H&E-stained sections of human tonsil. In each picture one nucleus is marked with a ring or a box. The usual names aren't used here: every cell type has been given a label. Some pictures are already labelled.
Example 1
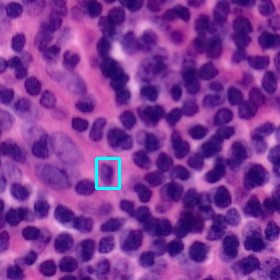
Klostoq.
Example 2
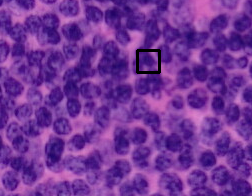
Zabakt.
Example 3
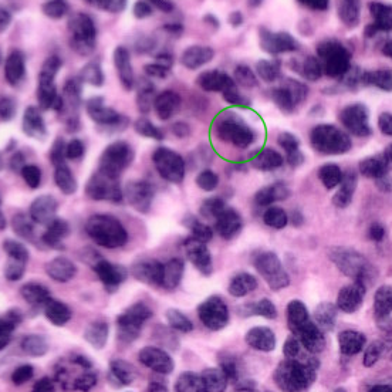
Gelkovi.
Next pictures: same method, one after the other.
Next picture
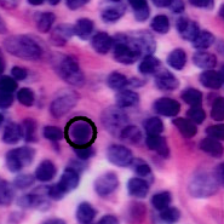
Klostoq.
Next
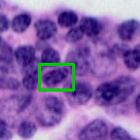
Gelkovi.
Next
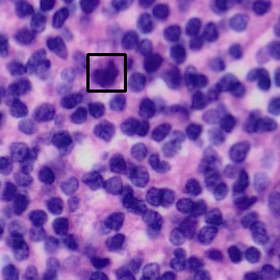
Gelkovi.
